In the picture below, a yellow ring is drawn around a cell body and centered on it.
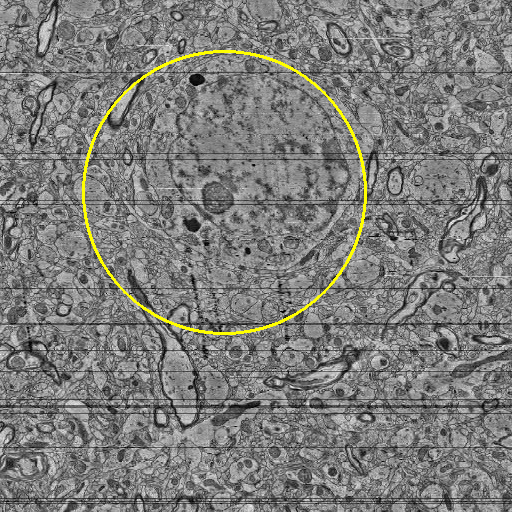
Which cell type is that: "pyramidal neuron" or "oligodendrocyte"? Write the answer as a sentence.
The cell centered in the ring is a pyramidal neuron.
